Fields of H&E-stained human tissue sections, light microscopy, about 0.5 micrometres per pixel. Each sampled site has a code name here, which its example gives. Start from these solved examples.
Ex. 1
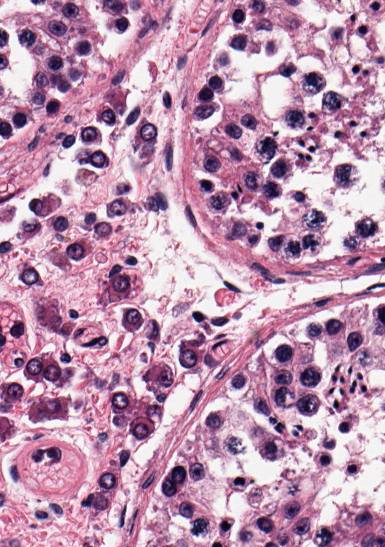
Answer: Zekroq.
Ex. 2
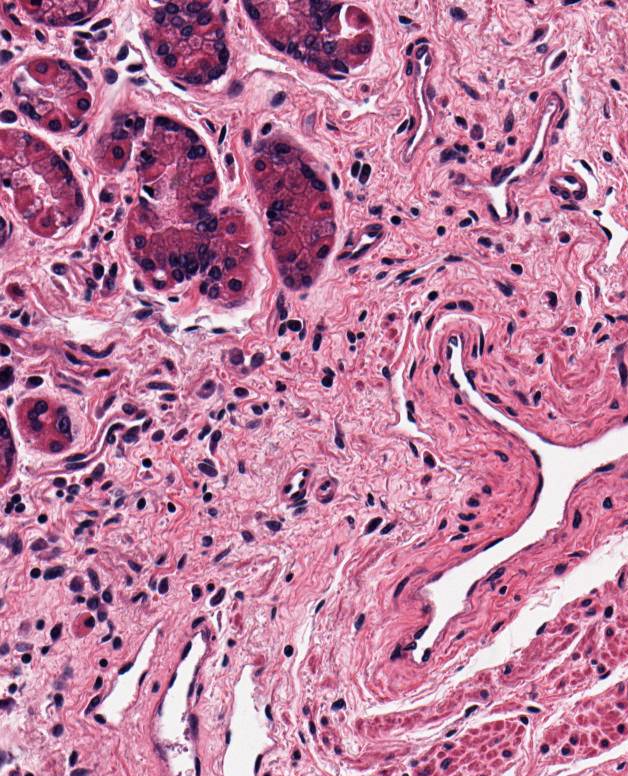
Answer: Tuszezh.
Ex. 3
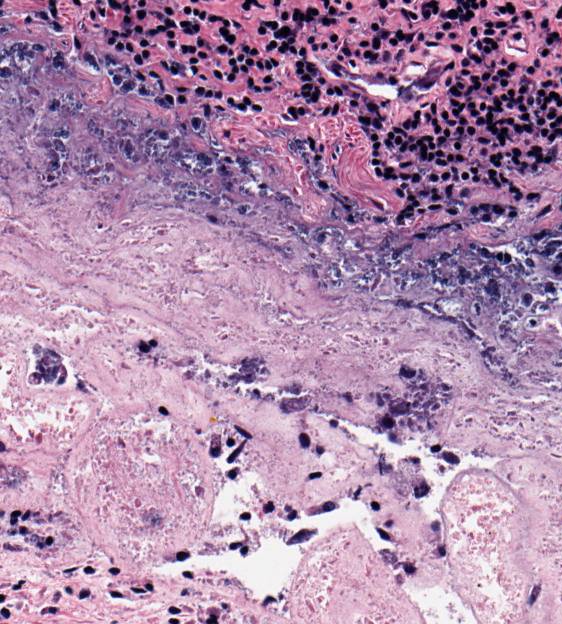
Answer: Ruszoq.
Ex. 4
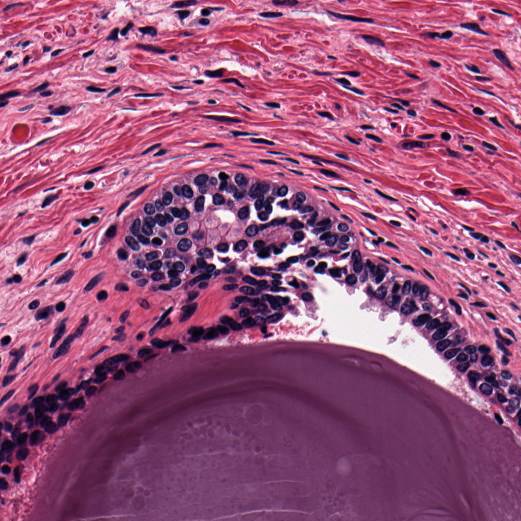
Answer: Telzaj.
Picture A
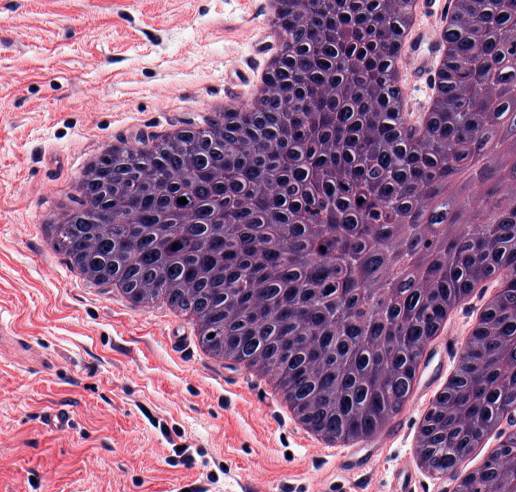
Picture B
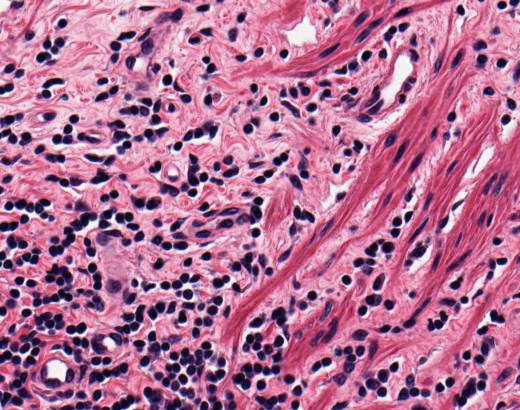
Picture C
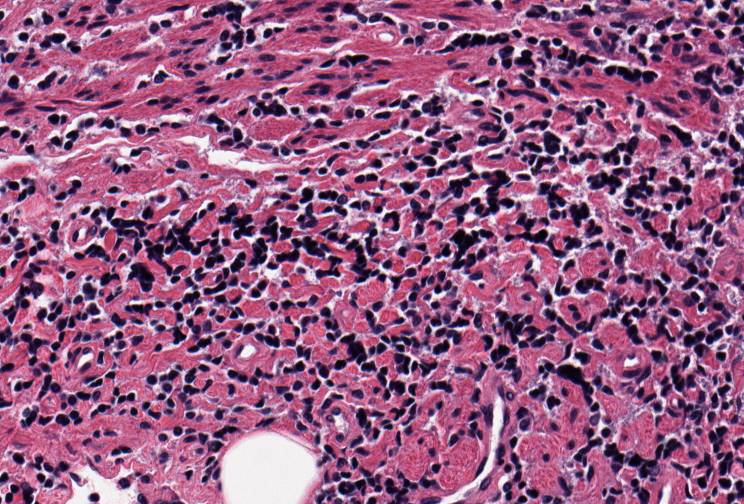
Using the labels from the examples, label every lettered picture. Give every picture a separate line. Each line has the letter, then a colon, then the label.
A: Tuszezh.
B: Ruszoq.
C: Ruszoq.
